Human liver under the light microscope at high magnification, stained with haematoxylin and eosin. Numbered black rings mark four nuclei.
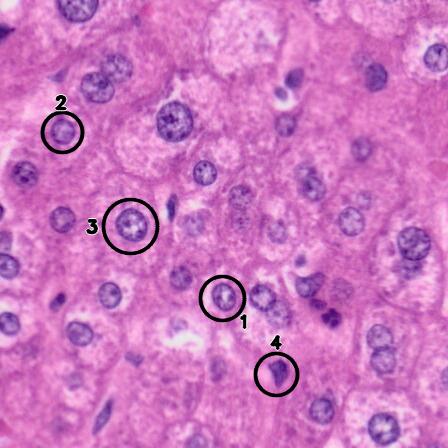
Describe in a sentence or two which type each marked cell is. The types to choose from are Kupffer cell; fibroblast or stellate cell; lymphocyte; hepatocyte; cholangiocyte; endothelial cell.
Cell 1 is a hepatocyte, cell 2 is a hepatocyte, cell 3 is a hepatocyte and cell 4 is an endothelial cell.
